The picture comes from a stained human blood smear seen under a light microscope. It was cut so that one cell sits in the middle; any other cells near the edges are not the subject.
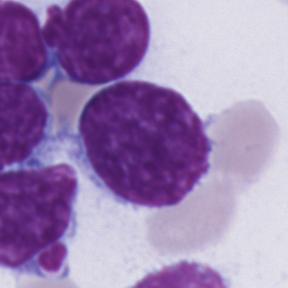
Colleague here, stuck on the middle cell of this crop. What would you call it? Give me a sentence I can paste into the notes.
The cell marked by its central position in the crop is a blast.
